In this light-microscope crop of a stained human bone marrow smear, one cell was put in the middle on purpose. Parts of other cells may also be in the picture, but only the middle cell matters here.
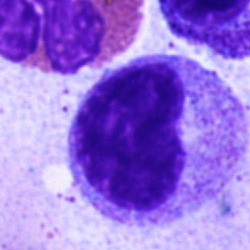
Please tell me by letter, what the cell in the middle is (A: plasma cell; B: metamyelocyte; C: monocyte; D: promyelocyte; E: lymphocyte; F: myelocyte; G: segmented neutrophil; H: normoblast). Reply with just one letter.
F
